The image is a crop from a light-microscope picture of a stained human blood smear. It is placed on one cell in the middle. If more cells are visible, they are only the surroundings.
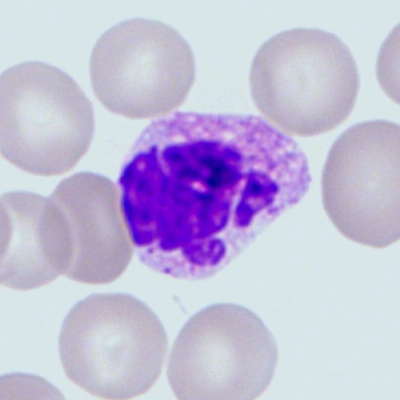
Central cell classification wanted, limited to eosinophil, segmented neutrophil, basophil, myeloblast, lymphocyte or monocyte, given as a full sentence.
As for the central cell, it is a basophil.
